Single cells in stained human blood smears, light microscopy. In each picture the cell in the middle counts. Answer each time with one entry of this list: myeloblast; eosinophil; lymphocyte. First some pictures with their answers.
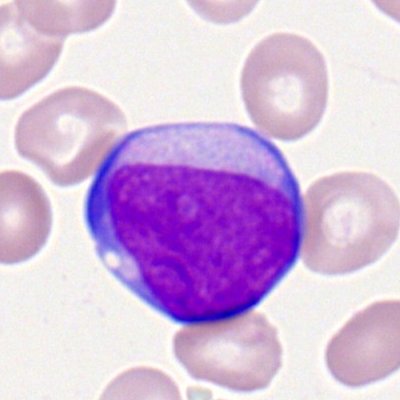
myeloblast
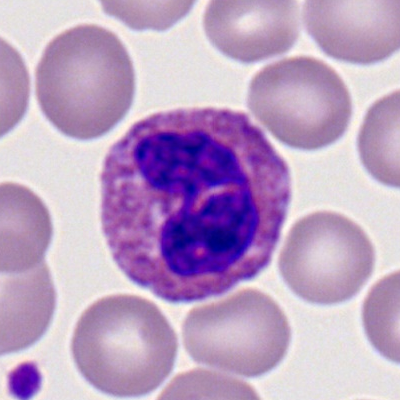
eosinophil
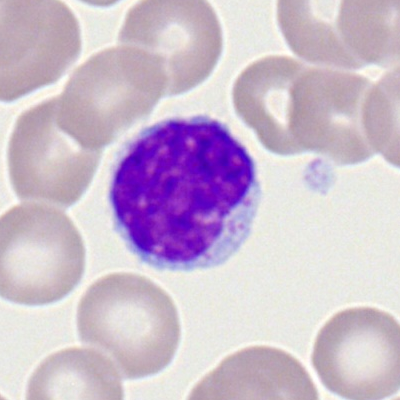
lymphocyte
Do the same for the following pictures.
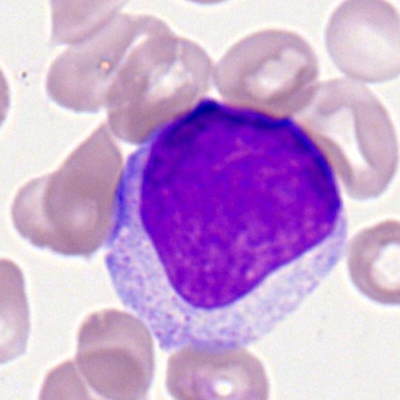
myeloblast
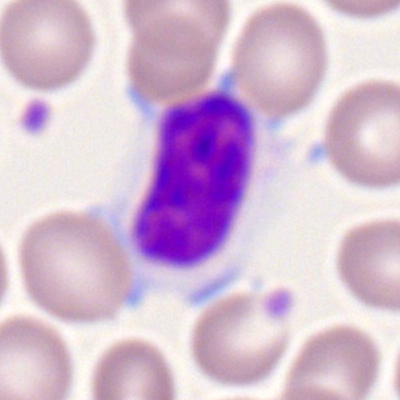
lymphocyte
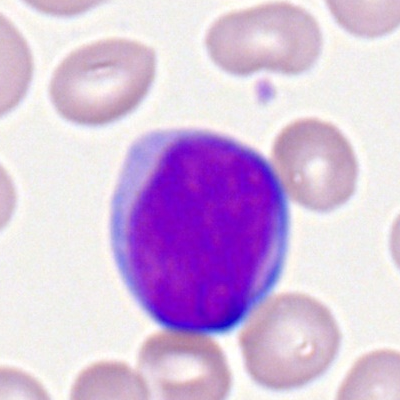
myeloblast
